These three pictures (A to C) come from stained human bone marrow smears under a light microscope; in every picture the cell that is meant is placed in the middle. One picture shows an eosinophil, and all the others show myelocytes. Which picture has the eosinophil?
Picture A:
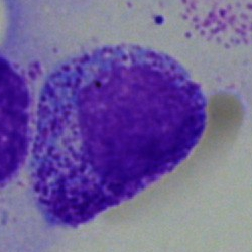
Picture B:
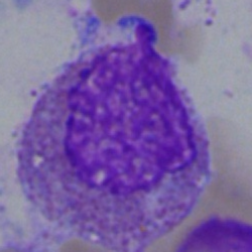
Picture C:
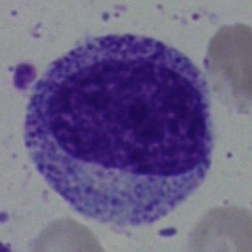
B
